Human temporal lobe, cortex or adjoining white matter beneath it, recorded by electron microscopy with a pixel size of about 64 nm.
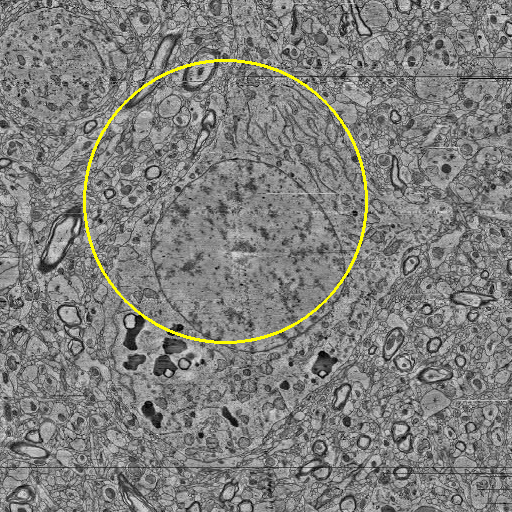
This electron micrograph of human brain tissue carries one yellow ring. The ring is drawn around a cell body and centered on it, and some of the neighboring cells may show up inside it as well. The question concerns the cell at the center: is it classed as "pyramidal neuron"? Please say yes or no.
Yes, it is classed that way.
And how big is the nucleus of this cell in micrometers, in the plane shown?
In this plane the ringed cell's nucleus is roughly 12 micrometres across.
